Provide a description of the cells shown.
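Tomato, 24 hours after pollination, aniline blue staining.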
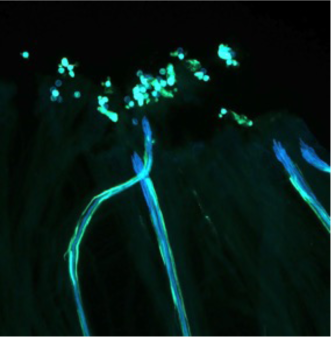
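This is pollinated tissue viewed by fluorescence, but here pollen tubes are essentially absent. At the top lie only scattered, irregular bright clumps, not a neat band of round grains. No fine threads grow downward from these clumps. The only long fluorescent lines are a few thick blue-green strands running lengthwise, which are vascular bundles of the tissue rather than pollen tubes. Most of the field below the clumps is dark.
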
